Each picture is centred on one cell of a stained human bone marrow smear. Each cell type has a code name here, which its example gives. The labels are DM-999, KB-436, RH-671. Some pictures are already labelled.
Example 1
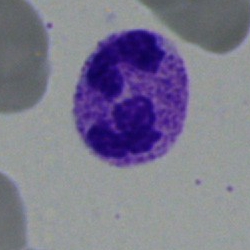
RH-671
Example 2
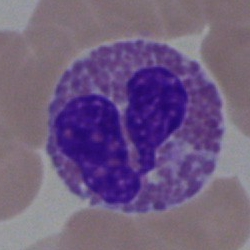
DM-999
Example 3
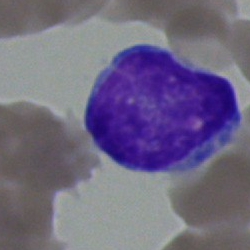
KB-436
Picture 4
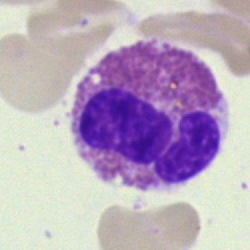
DM-999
